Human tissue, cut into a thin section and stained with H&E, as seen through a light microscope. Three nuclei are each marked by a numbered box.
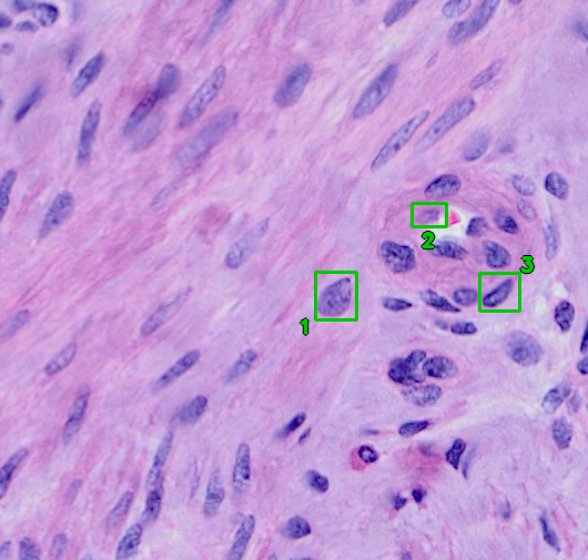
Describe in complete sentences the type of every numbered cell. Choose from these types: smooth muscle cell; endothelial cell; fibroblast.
Cell 1 is a fibroblast, cell 2 is an endothelial cell and cell 3 is a smooth muscle cell.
